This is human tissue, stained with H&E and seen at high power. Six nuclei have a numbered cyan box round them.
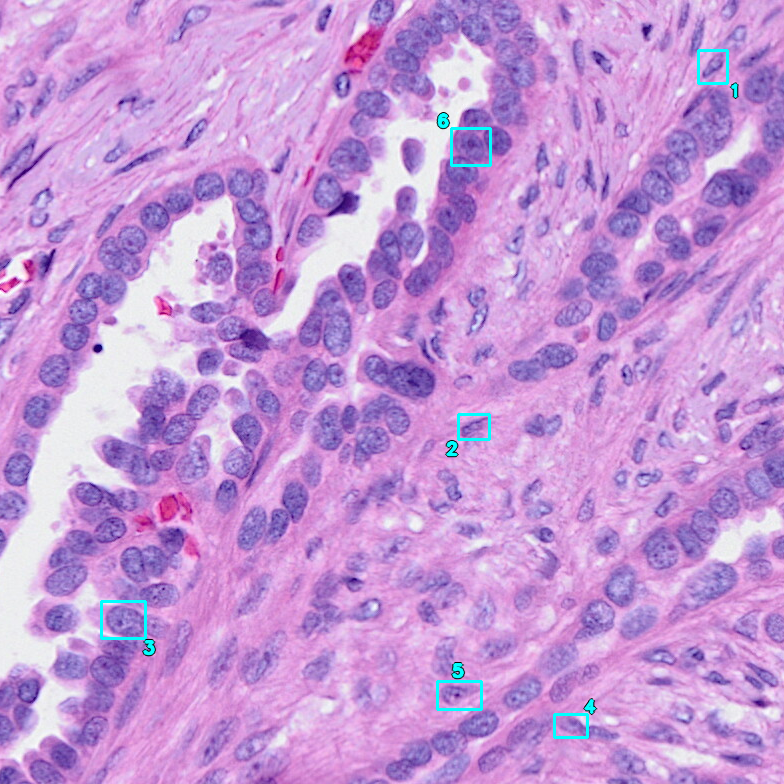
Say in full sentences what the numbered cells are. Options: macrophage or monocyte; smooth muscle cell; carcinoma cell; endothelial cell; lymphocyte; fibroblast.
Cell 1 is a fibroblast, cell 2 is a fibroblast, cell 3 is a carcinoma cell, cell 4 is a fibroblast, cell 5 is a fibroblast and cell 6 is a carcinoma cell.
